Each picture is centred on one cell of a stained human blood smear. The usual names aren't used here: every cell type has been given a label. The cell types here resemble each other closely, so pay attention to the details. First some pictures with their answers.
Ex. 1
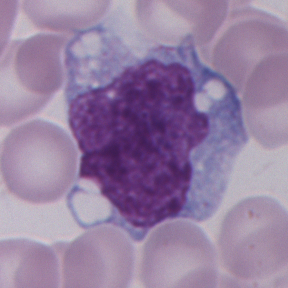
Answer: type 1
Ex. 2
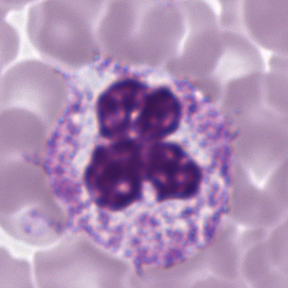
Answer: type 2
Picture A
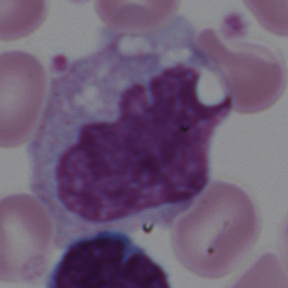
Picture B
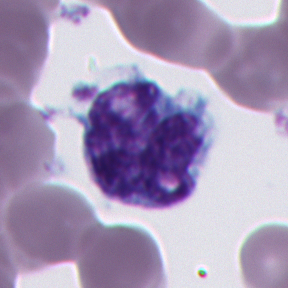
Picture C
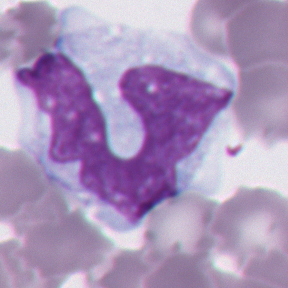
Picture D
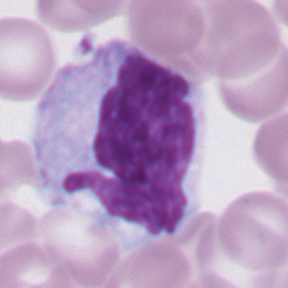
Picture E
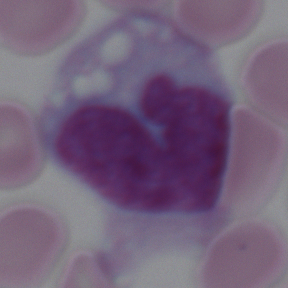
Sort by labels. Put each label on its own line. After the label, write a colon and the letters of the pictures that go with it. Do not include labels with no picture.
type 1: A, B, C, D, E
